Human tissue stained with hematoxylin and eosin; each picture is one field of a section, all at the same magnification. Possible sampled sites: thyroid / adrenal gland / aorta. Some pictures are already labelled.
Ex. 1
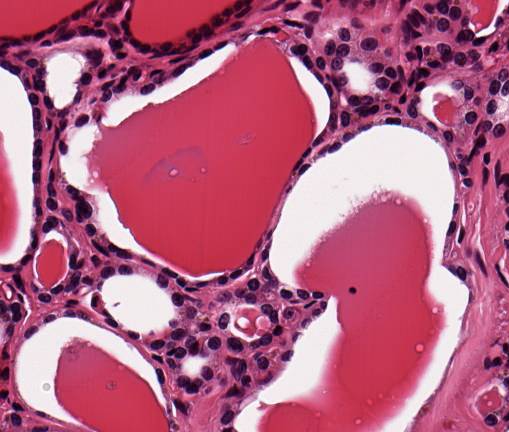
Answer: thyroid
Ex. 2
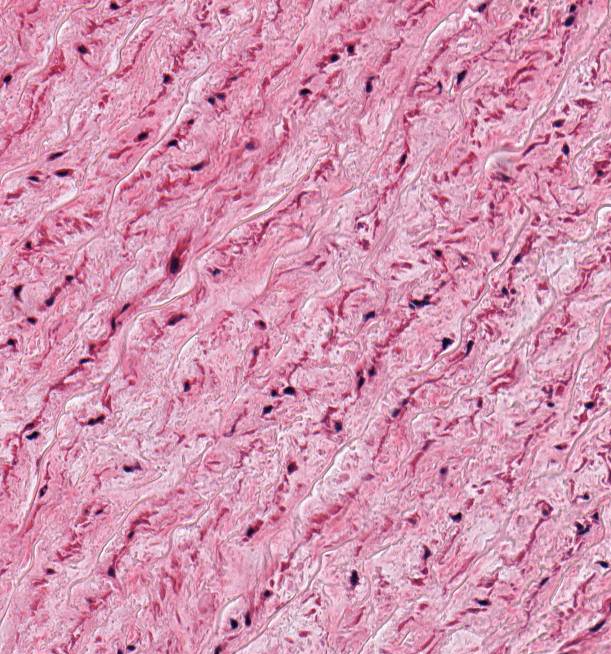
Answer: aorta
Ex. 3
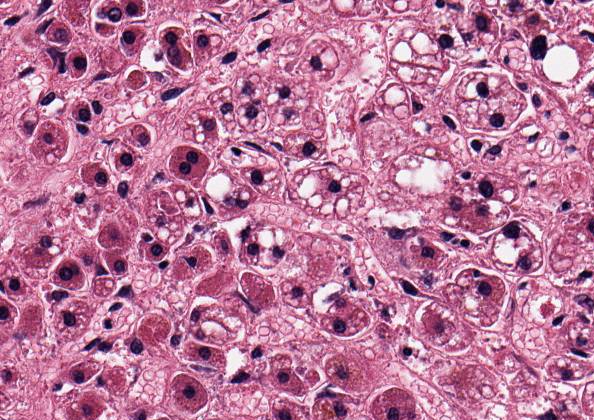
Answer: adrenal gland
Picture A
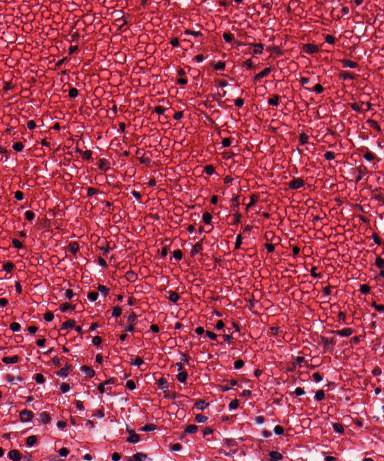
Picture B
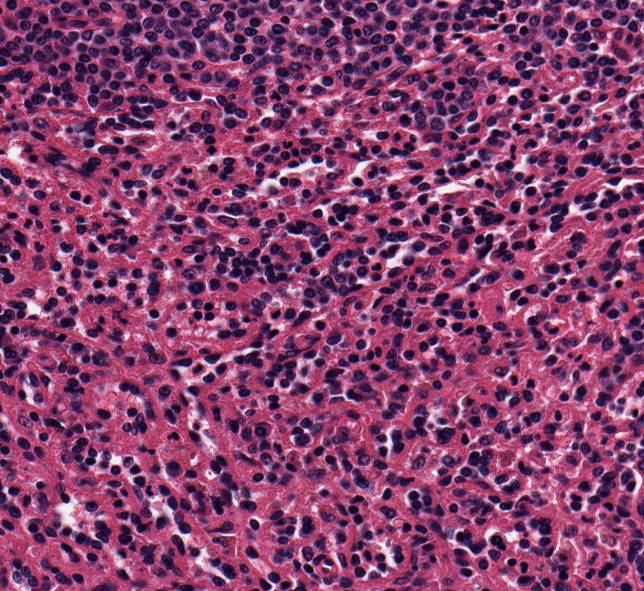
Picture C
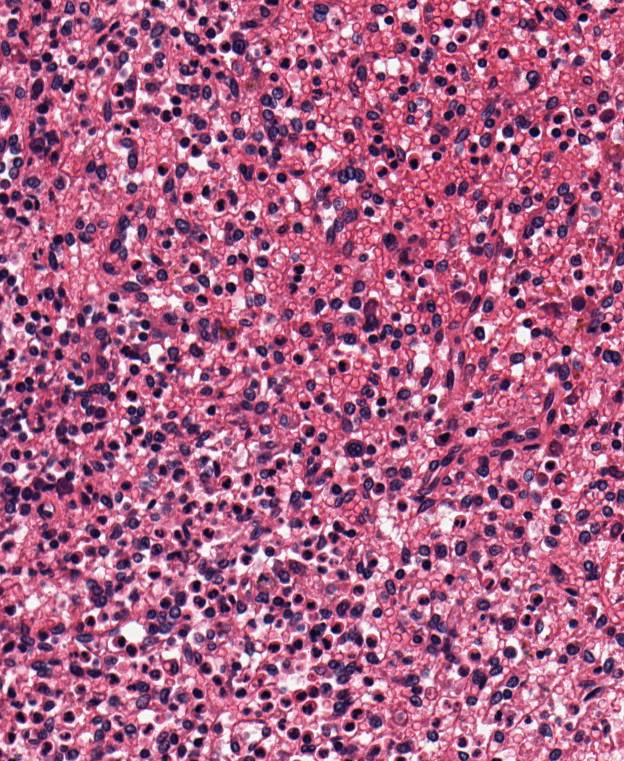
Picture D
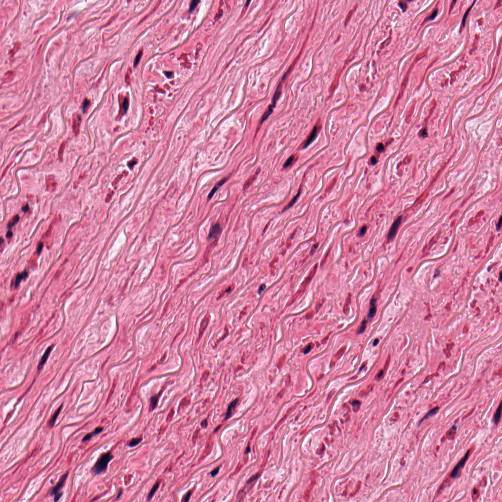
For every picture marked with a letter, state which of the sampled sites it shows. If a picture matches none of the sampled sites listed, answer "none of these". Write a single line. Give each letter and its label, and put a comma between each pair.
A none of these, B none of these, C none of these, D aorta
